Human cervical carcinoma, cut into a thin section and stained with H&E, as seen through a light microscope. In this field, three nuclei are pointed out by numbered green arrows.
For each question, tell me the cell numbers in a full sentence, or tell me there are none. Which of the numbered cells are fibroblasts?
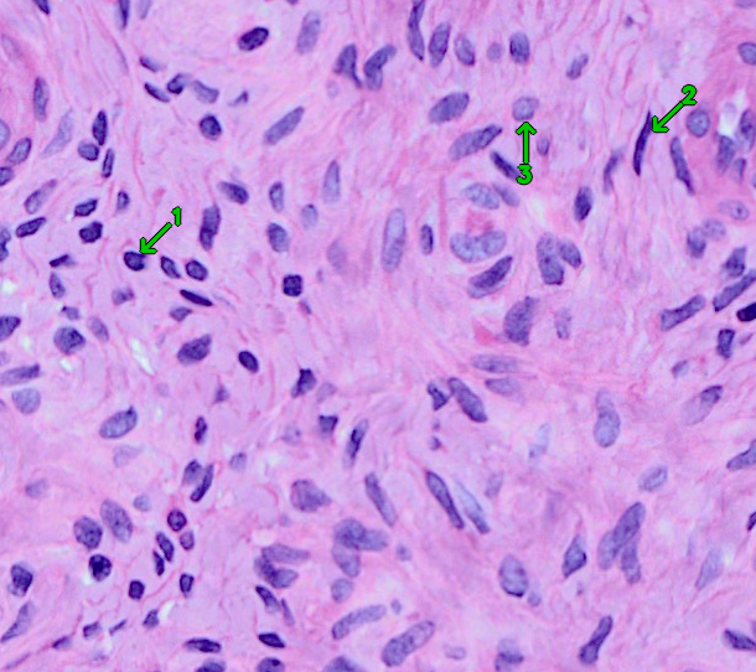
In this section, the cells labelled 1 and 2 are fibroblasts.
